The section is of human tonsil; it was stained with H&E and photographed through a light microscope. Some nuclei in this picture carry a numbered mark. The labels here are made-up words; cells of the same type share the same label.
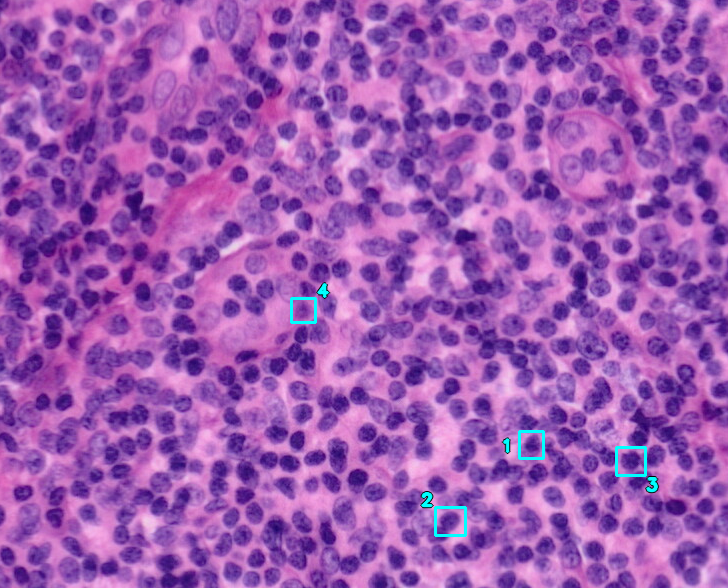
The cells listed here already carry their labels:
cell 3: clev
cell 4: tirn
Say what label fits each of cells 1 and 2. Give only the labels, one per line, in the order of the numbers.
clev
clev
